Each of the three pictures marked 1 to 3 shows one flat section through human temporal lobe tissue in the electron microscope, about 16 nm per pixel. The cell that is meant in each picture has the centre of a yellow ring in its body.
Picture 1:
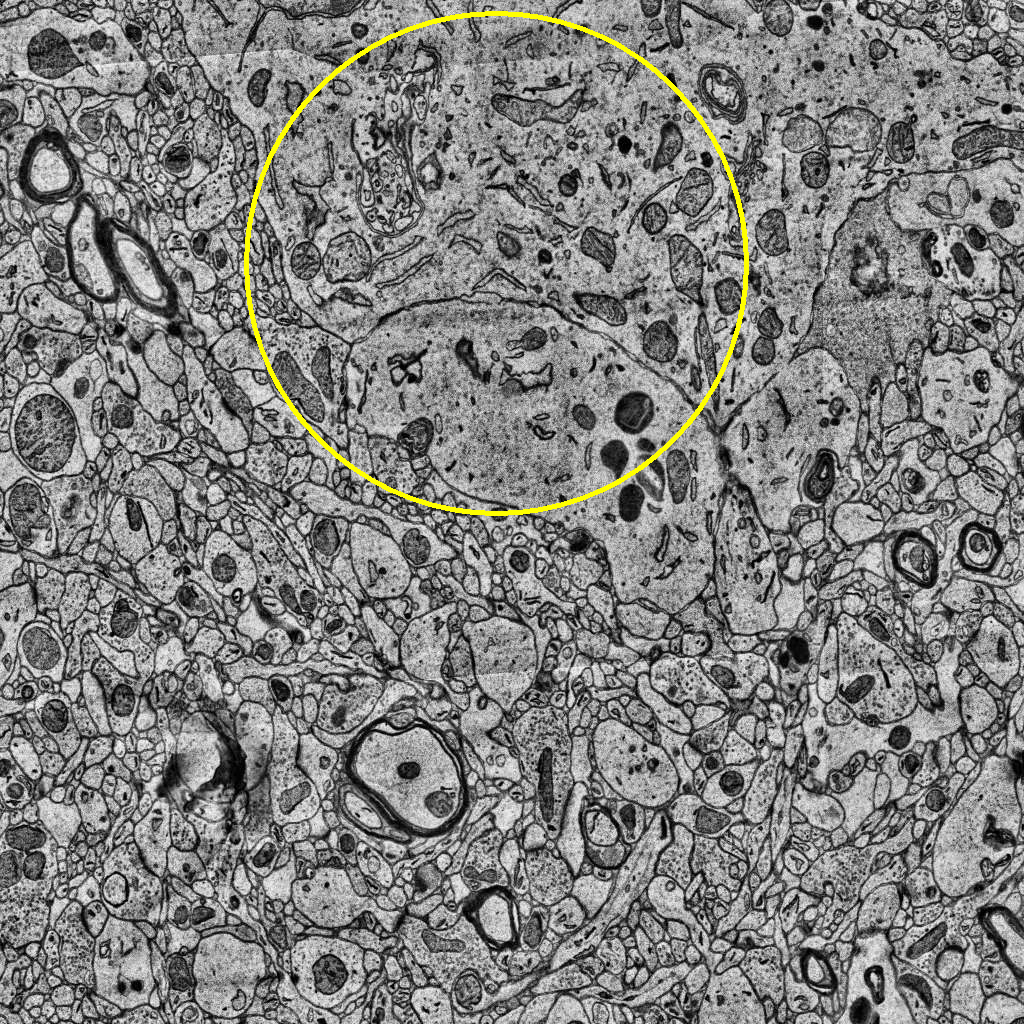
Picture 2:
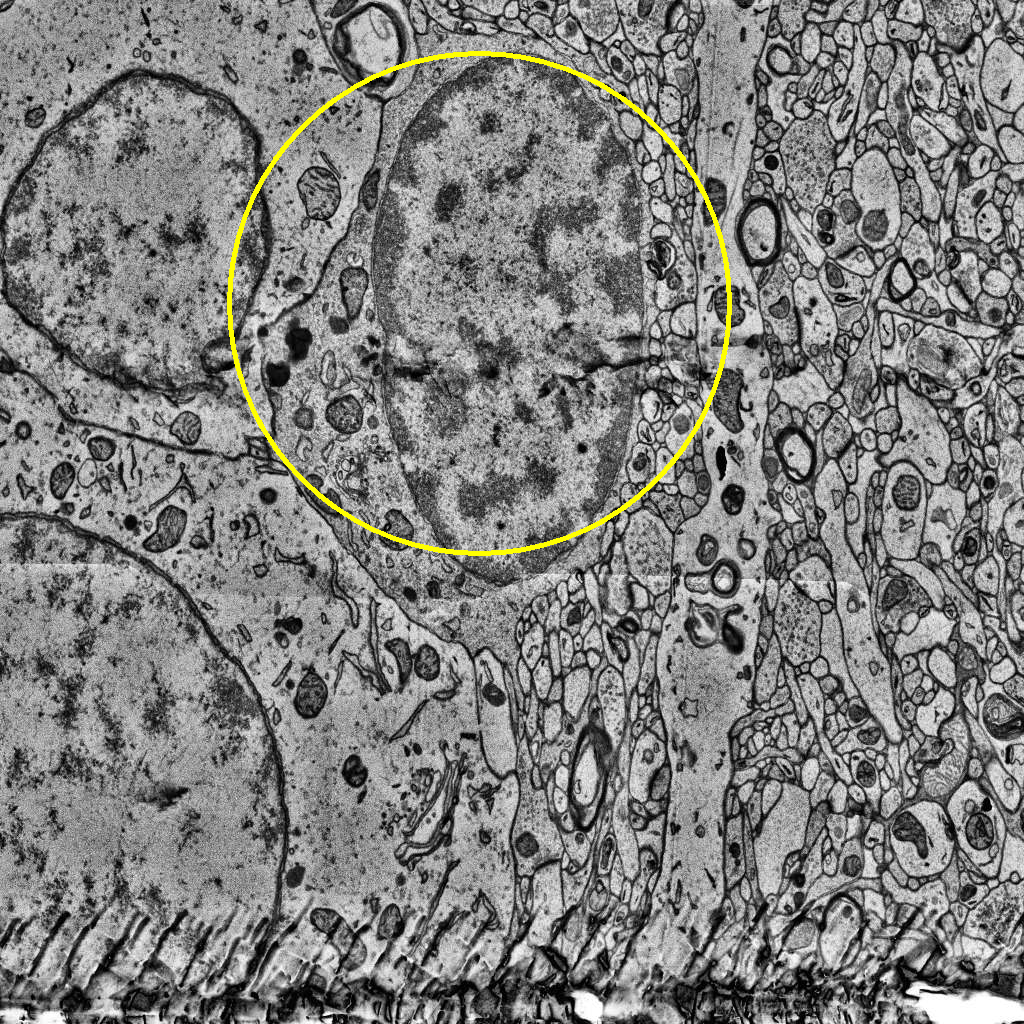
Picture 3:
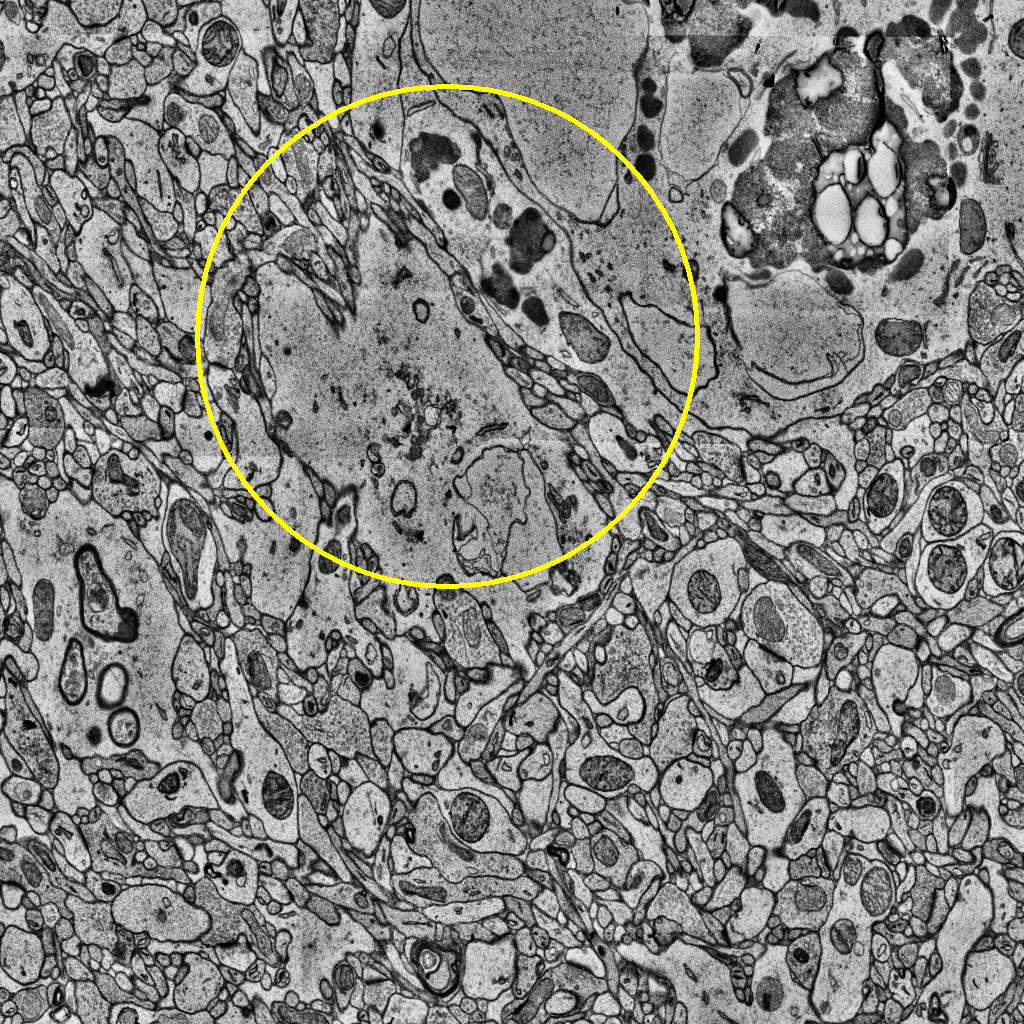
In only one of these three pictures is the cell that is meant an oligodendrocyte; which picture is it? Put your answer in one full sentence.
The picture with the oligodendrocyte is 2.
